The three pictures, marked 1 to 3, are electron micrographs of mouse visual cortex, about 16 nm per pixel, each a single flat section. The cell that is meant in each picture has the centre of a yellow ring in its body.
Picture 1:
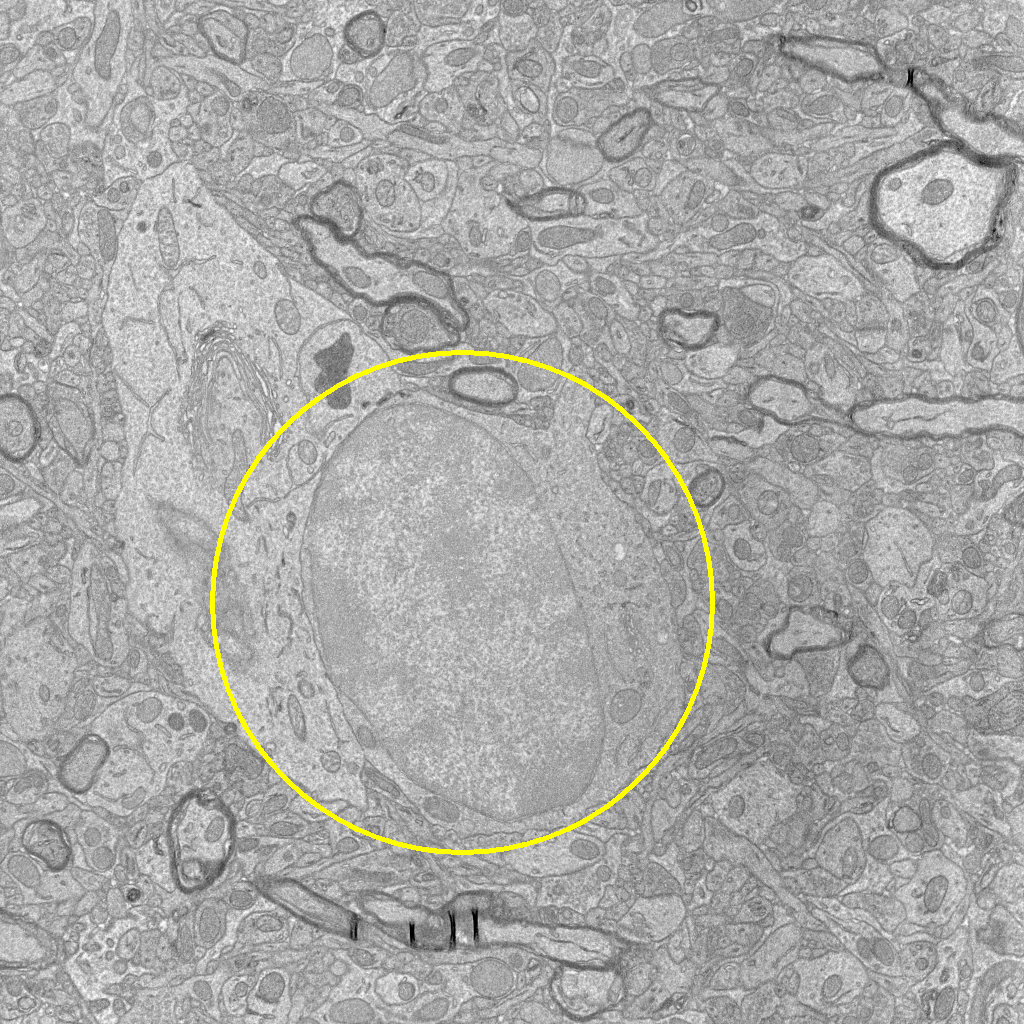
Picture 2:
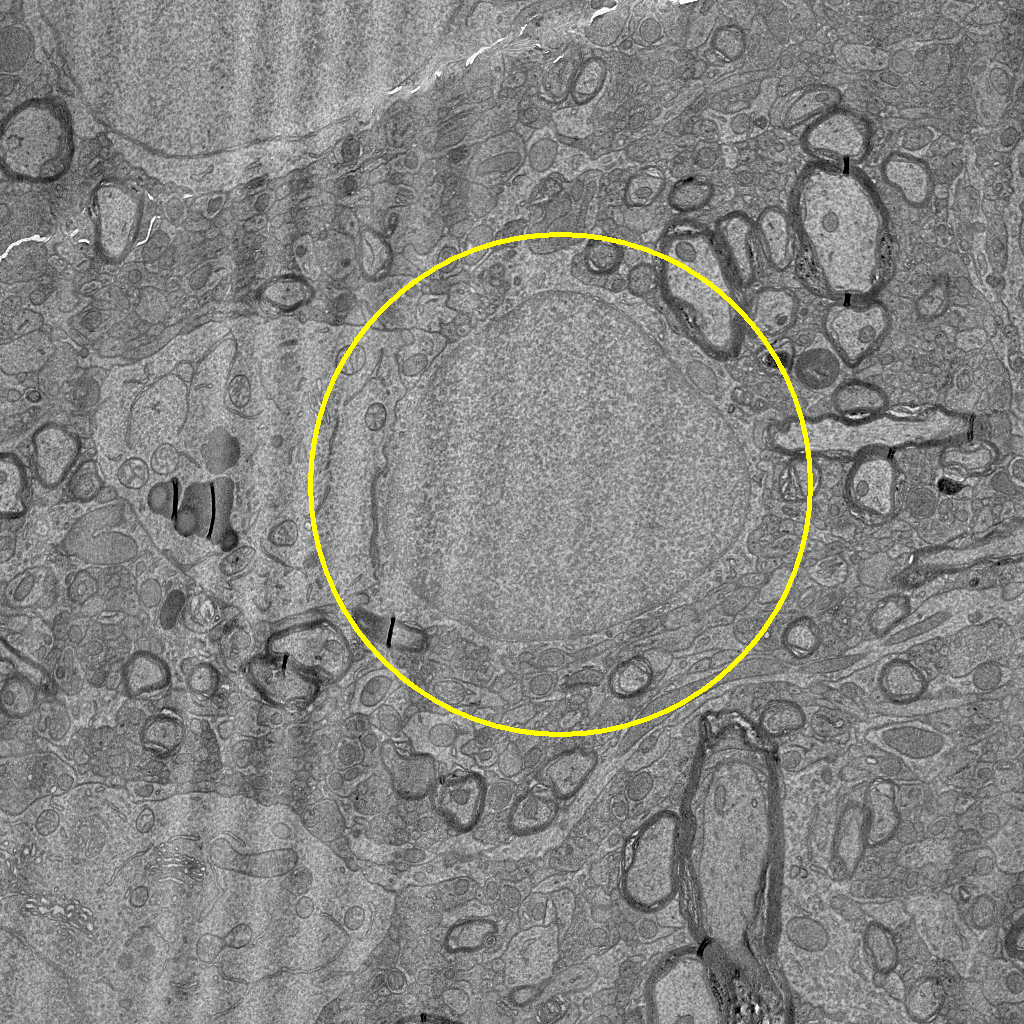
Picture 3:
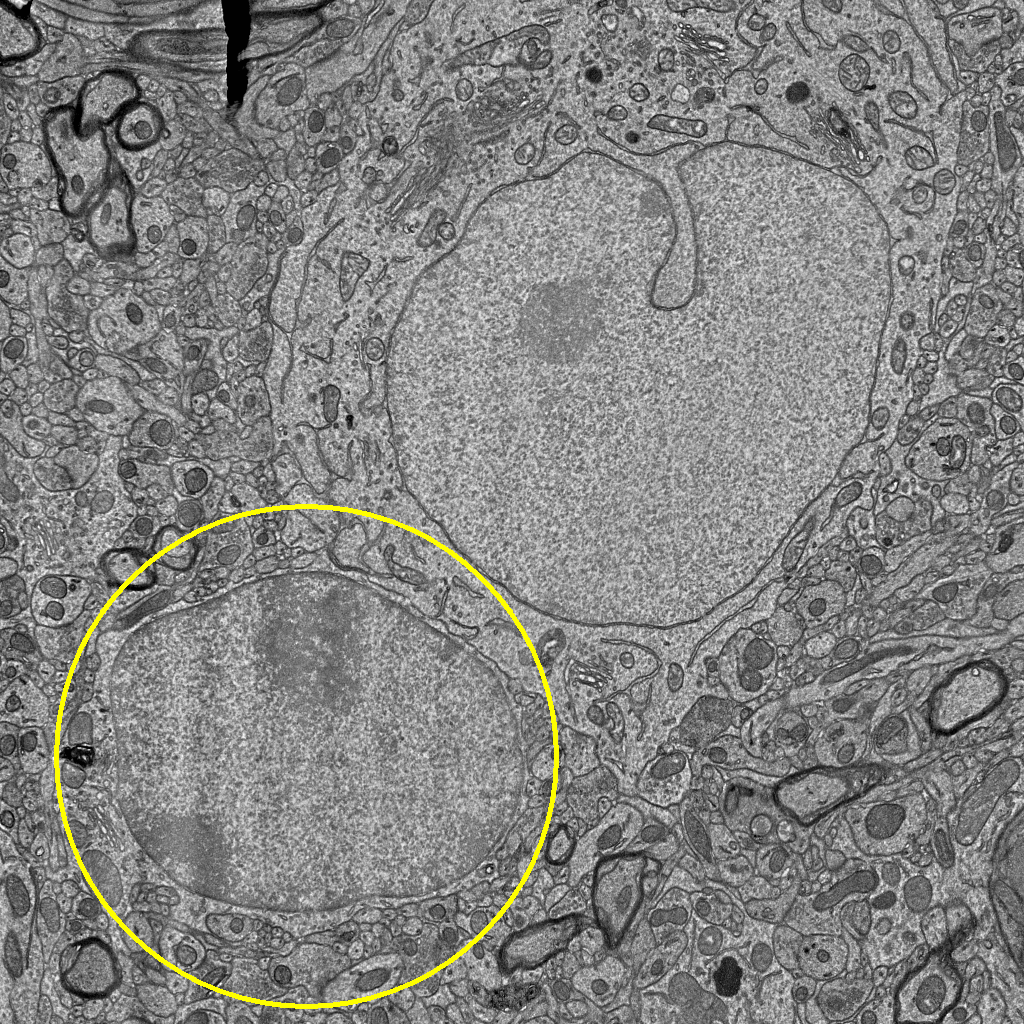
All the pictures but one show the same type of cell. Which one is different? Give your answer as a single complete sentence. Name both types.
All pictures except 1 show astrocytes; picture 1 shows an oligodendrocyte.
